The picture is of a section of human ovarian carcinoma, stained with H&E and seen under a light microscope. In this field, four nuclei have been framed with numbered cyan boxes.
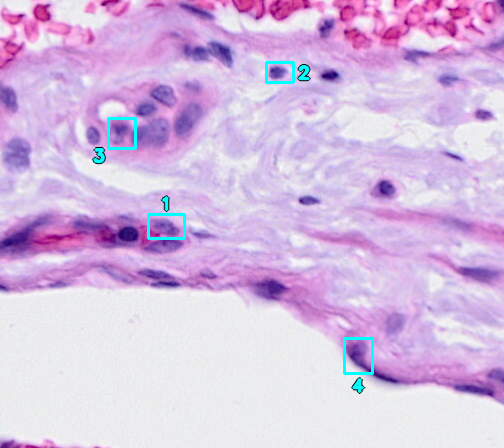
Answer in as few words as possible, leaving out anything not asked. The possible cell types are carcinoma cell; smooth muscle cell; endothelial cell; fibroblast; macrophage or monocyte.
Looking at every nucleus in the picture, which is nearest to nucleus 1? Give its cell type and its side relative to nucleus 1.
an endothelial cell; below nucleus 1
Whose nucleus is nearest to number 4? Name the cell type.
endothelial cell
